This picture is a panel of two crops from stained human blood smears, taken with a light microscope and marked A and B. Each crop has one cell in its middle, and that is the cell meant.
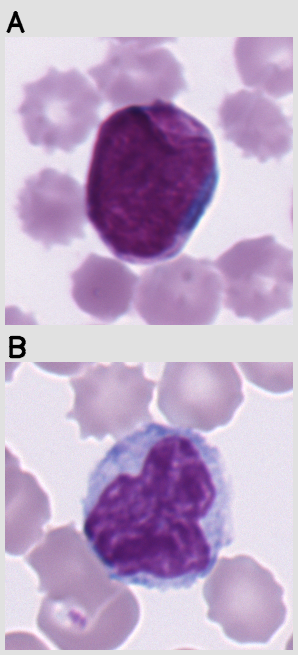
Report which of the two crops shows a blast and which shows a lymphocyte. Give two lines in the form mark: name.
A: blast
B: lymphocyte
